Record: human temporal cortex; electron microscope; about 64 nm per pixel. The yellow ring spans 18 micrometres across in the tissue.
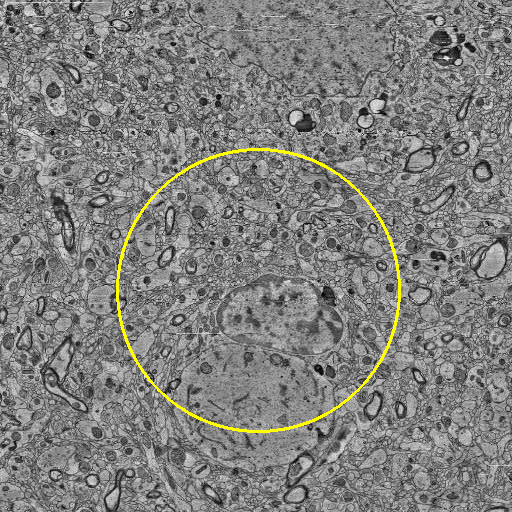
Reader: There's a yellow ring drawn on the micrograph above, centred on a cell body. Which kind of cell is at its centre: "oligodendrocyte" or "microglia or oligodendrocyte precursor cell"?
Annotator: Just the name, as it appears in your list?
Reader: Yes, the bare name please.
microglia or oligodendrocyte precursor cell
